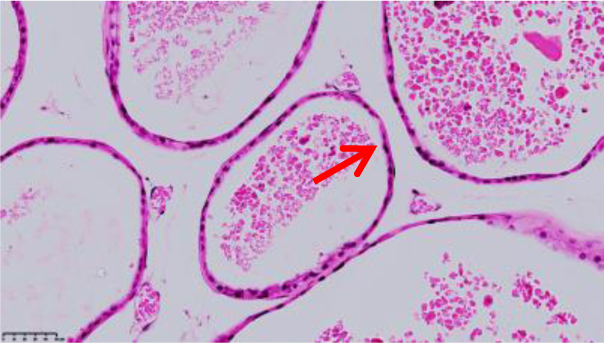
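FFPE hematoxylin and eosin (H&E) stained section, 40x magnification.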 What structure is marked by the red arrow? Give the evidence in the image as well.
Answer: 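Round glands lined by a single thin layer of epithelial cells. Lumens filled with pink secretion. Thin stroma between the glands. The answer: healthy glands.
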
